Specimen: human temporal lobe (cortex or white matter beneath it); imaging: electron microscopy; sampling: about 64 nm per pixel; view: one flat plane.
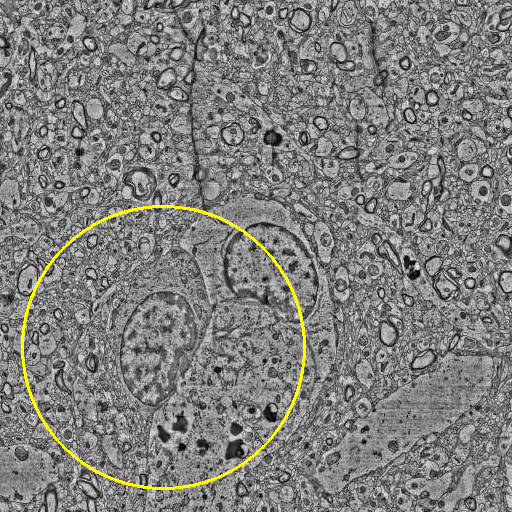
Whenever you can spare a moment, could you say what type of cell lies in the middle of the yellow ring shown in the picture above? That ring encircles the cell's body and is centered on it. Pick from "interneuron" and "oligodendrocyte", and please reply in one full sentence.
The cell whose body sits at the middle of the yellow ring is an oligodendrocyte.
